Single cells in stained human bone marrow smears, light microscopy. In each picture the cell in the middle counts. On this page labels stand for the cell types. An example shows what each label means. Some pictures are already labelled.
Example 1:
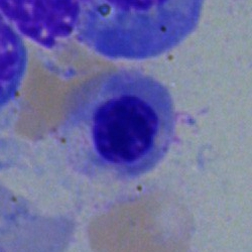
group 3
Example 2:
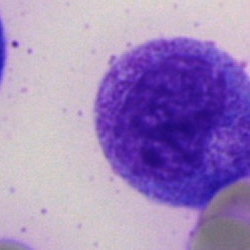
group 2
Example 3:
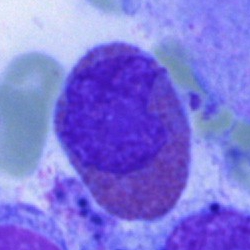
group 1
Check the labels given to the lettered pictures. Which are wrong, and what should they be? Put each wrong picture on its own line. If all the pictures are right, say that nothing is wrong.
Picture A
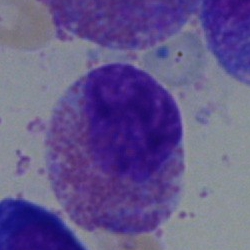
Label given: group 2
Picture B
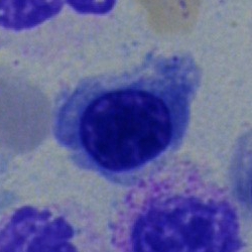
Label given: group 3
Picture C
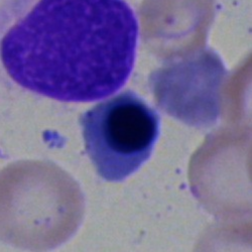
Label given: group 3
Wrong: A (group 2); correct: group 1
